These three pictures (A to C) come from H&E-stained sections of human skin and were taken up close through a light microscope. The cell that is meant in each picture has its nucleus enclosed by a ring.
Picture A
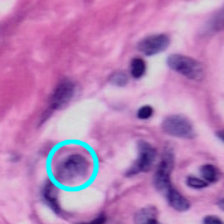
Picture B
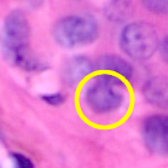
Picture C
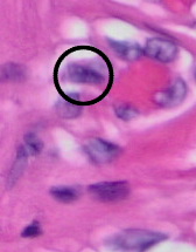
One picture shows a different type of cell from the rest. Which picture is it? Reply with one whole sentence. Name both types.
The others show endothelial cells, but picture B shows a basal keratinocyte.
